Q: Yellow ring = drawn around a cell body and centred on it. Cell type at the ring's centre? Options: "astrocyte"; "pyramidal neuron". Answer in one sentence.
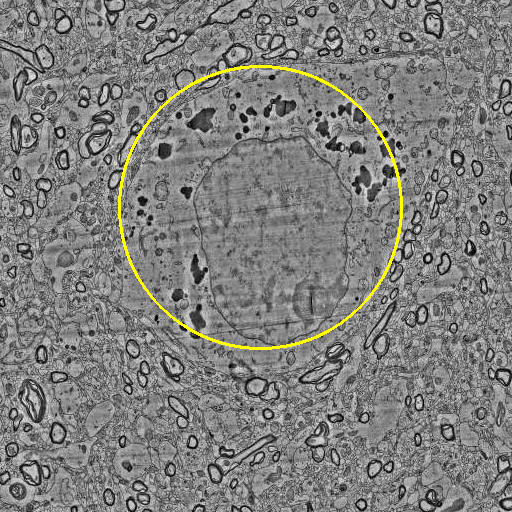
Centred in the ring is a pyramidal neuron.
